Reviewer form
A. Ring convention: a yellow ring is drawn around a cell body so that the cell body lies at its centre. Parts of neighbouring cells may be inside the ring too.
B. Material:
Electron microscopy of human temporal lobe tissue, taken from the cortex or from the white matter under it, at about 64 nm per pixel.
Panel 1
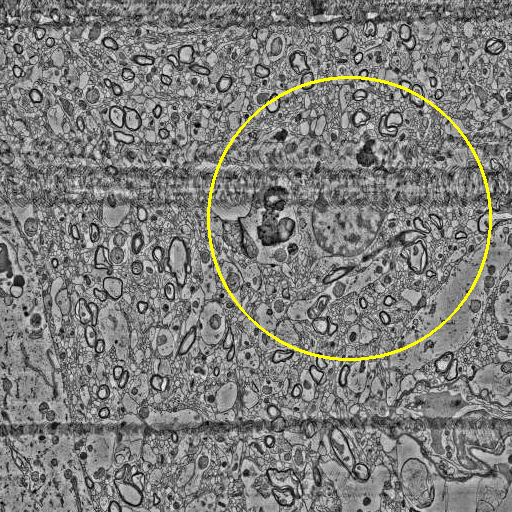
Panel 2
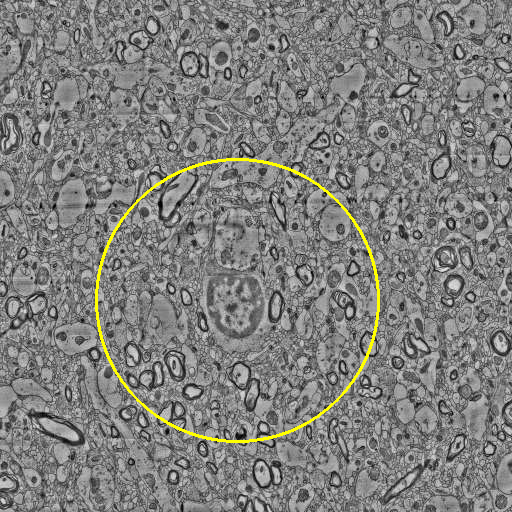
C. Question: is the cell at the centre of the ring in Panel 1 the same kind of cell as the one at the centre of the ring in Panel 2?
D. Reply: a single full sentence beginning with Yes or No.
Yes, the cells in Panel 1 and Panel 2 are the same kind of cell.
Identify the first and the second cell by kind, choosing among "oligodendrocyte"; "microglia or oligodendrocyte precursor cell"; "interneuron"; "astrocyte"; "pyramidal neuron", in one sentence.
In both pictures the ring is centred on an oligodendrocyte.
